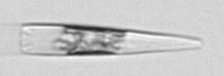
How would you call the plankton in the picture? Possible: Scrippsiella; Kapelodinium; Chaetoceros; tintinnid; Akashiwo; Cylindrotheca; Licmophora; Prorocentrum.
I would call it Licmophora.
